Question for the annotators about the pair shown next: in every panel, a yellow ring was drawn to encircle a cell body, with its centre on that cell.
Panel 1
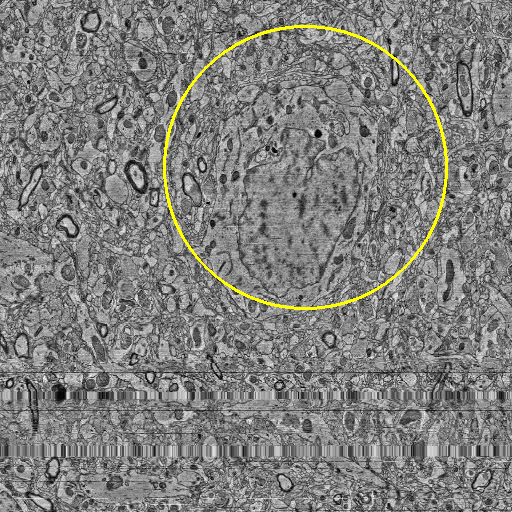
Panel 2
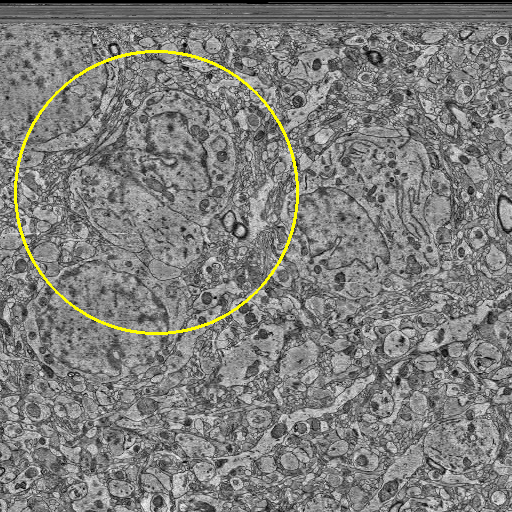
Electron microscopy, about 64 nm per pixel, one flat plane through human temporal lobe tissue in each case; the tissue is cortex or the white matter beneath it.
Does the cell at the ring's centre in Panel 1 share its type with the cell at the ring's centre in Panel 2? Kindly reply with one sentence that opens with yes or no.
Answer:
Yes, in Panels 1 and 2 the cells at the ring centres belong to a single type.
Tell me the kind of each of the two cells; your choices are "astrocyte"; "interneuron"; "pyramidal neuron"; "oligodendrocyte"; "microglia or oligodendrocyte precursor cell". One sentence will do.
The first and the second cell are each an interneuron.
